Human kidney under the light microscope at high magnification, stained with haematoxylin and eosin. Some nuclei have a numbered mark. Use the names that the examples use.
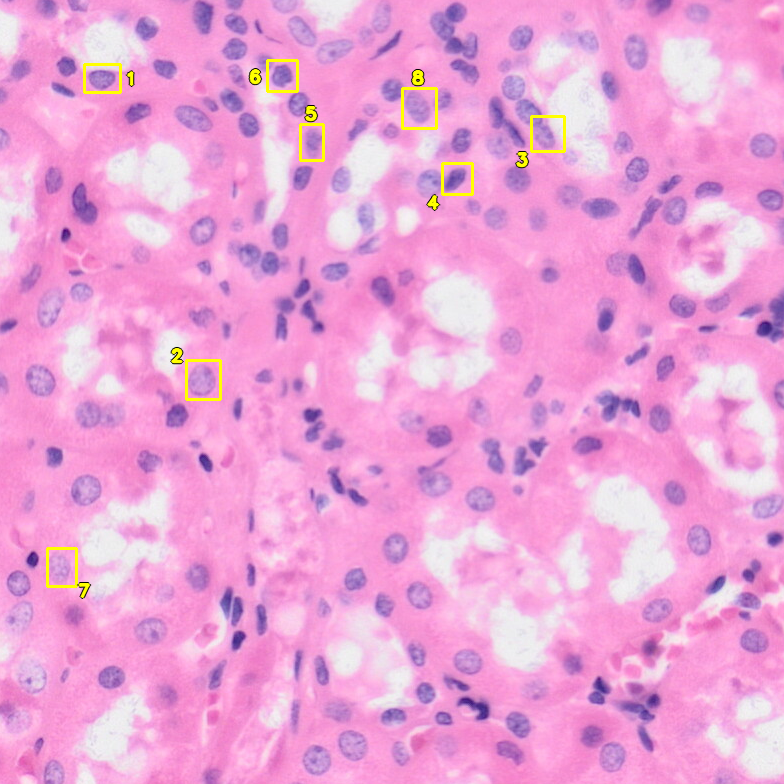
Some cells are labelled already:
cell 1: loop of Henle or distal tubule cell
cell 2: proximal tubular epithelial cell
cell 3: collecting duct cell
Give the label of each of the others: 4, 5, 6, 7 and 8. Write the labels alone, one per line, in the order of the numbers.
collecting duct cell
collecting duct cell
collecting duct cell
proximal tubular epithelial cell
collecting duct cell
